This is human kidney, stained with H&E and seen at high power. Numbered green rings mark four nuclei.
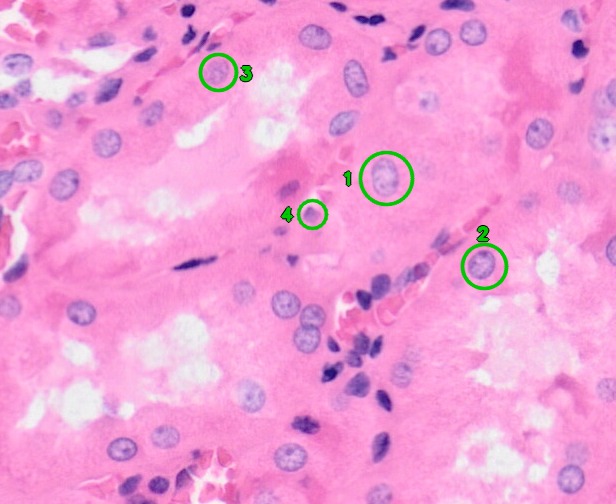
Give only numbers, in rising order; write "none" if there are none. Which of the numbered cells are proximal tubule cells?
1, 2, 3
